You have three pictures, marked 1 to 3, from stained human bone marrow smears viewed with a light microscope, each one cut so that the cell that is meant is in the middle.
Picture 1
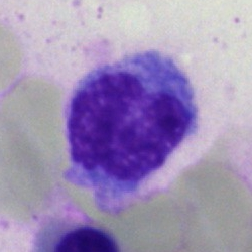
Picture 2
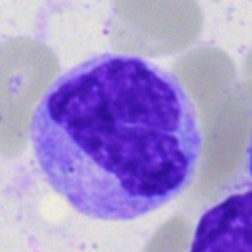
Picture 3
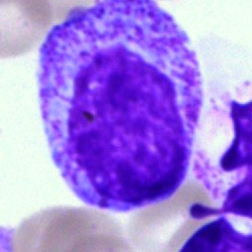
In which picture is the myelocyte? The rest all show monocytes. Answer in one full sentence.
It is picture 3 that shows the myelocyte.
